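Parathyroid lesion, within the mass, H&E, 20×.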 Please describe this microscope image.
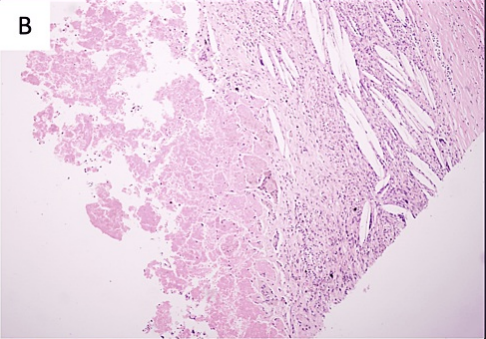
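The left half is occupied by pink, granular, fragmented acellular debris without intact nuclei, partly detached from the section. A few small brownish-dark specks are scattered in the cellular zone between the debris and the clefts. No intact tumour cell nests are seen.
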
